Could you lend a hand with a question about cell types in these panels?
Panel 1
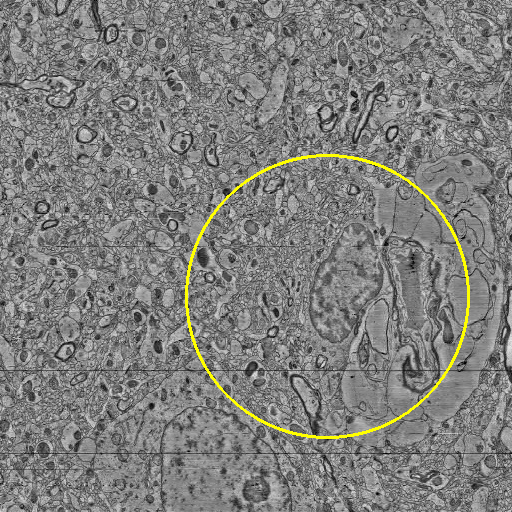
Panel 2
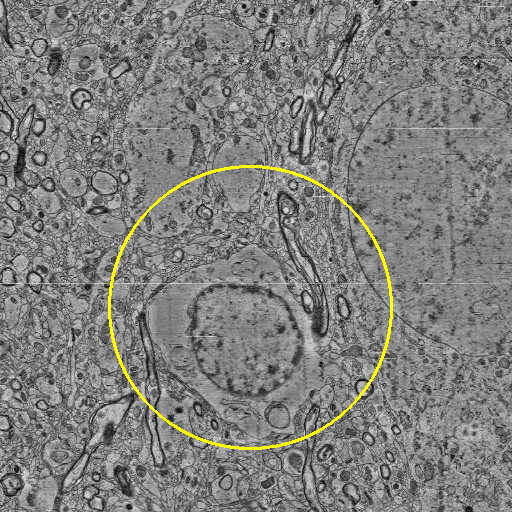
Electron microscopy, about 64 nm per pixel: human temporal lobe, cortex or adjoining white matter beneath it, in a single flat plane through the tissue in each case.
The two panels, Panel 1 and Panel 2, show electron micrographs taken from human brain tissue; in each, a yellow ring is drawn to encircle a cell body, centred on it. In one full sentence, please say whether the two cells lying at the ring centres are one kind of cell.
No, the cells at the ring centres in the two panels are two kinds of cell.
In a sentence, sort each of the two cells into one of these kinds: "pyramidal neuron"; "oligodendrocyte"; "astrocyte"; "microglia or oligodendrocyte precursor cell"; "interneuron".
The first of the two cells is an oligodendrocyte, and the second is an astrocyte.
